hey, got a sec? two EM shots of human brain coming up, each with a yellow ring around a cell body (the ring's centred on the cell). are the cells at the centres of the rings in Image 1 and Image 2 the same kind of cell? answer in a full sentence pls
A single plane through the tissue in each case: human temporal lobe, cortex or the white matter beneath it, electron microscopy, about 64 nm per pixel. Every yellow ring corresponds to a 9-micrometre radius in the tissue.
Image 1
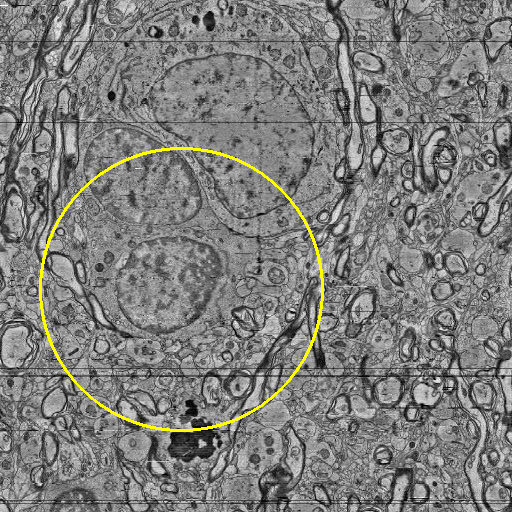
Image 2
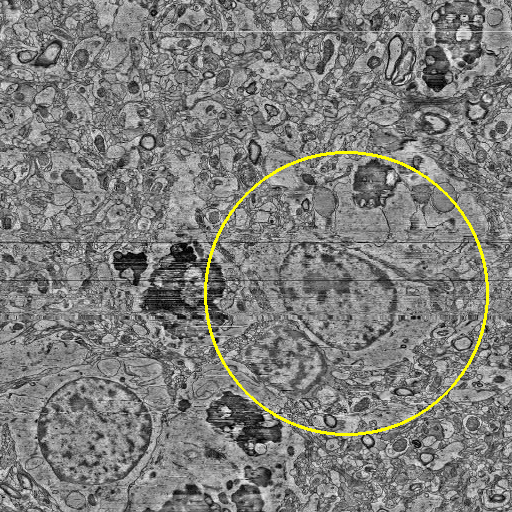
No, they are two kinds of cell.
